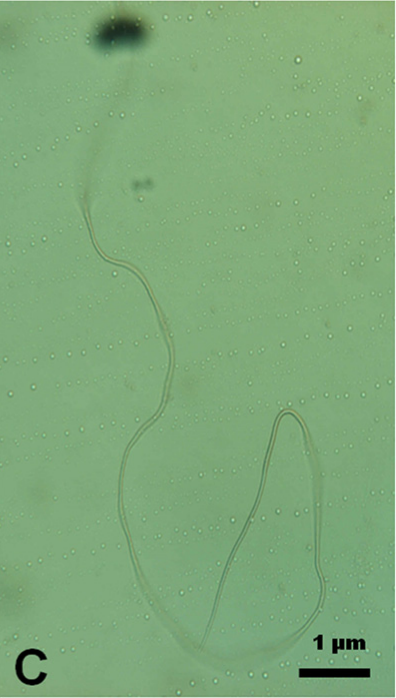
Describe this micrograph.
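This is a single sperm cell lying free on a pale green background. Its extremely long, slender tail makes a wide loop, and a small dark compact body sits at the upper end of it.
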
